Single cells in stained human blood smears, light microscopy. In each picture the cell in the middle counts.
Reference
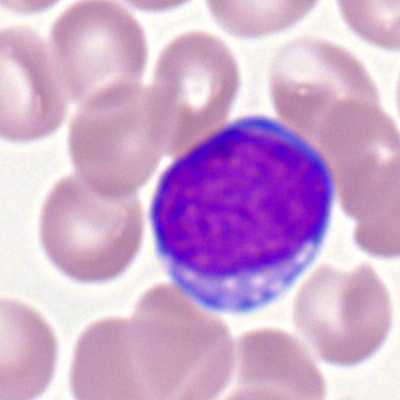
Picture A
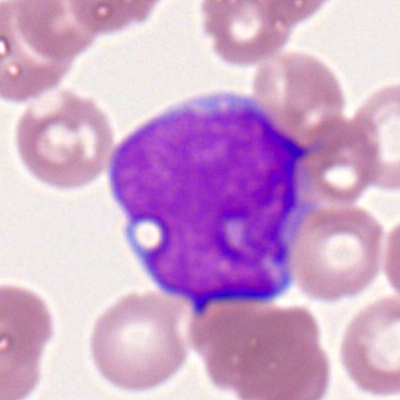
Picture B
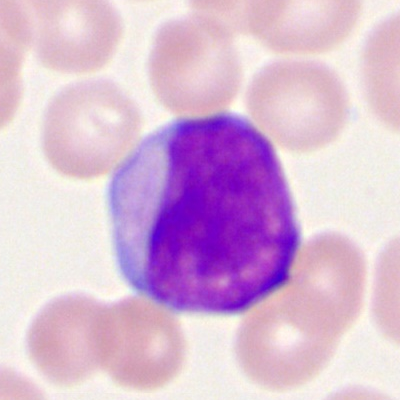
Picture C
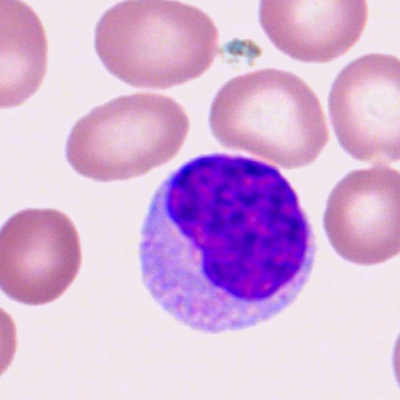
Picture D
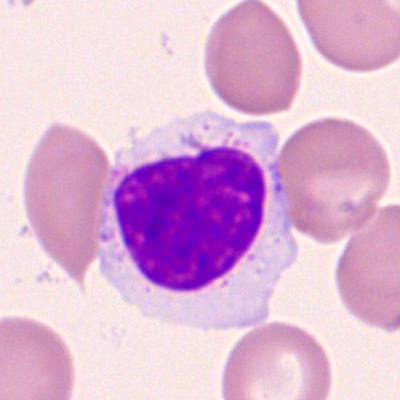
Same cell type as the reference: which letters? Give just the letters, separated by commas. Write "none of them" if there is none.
A, B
